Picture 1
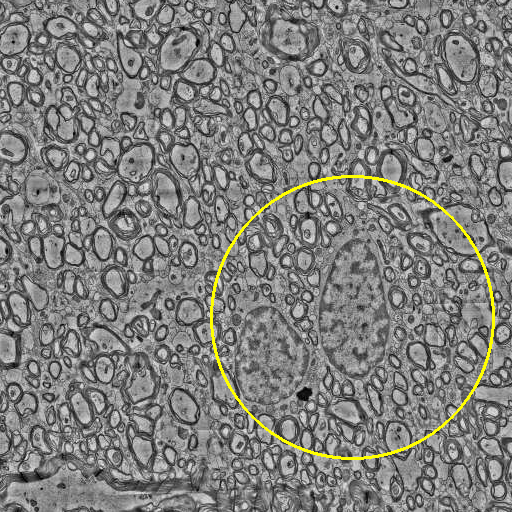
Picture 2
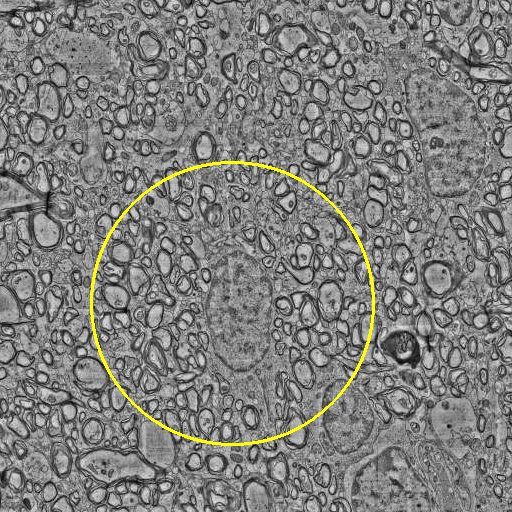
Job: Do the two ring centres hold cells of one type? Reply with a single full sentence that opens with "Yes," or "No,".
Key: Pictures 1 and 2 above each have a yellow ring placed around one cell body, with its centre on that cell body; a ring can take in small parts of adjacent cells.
Yes, the cells at the two ring centres are of one single type.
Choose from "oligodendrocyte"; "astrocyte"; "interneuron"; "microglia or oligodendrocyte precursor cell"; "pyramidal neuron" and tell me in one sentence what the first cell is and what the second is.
Both pictures show an oligodendrocyte at the centre of the ring.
